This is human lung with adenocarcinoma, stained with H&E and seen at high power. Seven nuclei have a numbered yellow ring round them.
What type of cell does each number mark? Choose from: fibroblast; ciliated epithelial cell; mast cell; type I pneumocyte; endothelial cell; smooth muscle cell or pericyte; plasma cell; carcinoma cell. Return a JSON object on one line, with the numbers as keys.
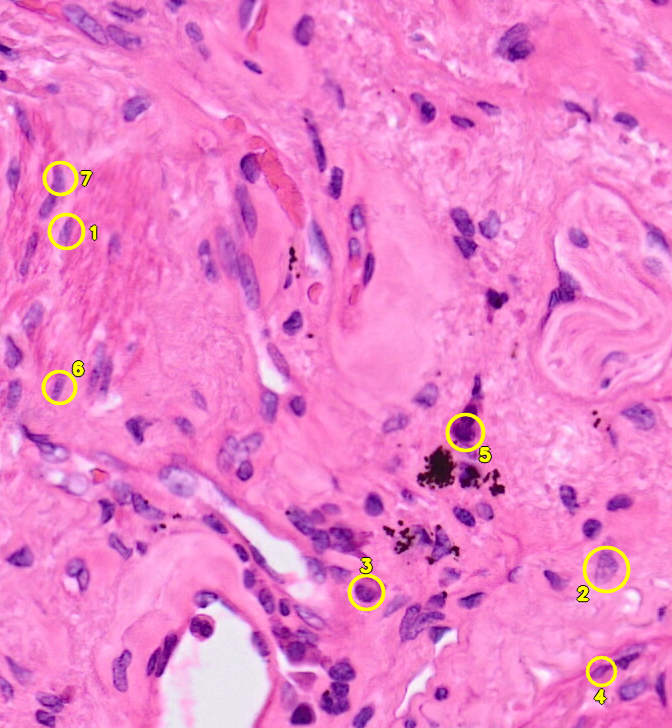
{"1": "smooth muscle cell or pericyte", "2": "fibroblast", "3": "plasma cell", "4": "smooth muscle cell or pericyte", "5": "plasma cell", "6": "smooth muscle cell or pericyte", "7": "smooth muscle cell or pericyte"}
